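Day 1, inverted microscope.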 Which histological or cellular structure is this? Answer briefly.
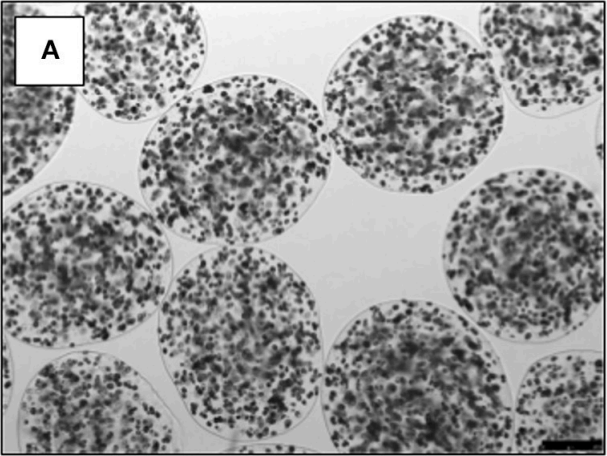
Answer: microbeads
